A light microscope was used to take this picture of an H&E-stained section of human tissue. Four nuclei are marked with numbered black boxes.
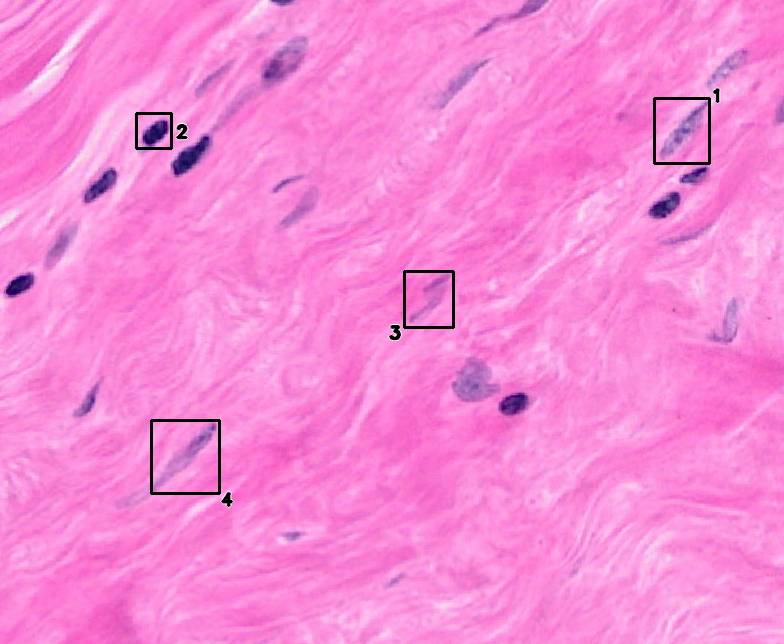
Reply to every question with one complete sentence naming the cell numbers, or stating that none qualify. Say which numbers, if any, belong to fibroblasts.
Identified as fibroblasts are the cells numbered 1, 3 and 4.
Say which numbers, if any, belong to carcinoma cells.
No representatives of carcinoma cells are found among the numbered cells.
